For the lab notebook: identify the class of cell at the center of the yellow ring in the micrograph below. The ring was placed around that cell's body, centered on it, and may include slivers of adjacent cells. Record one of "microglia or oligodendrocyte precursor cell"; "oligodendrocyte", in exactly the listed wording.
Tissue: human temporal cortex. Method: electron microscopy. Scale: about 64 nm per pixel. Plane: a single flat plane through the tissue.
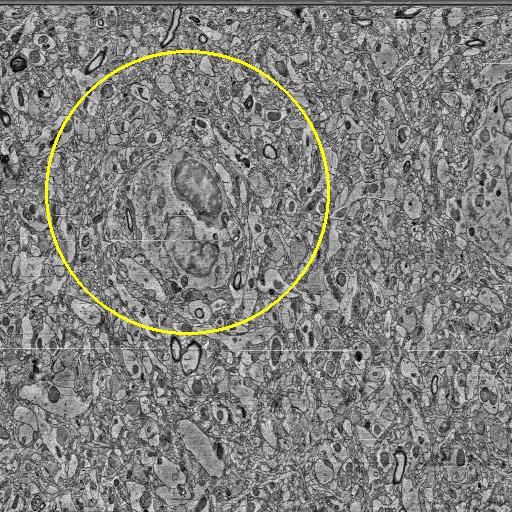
oligodendrocyte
